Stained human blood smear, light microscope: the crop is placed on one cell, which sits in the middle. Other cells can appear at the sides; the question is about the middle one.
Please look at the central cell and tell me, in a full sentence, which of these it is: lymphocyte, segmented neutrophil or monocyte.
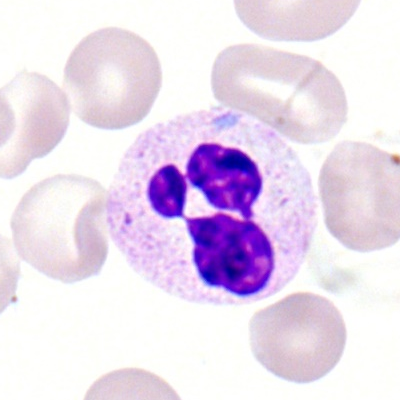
The cell around which this crop is centred is a segmented neutrophil.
